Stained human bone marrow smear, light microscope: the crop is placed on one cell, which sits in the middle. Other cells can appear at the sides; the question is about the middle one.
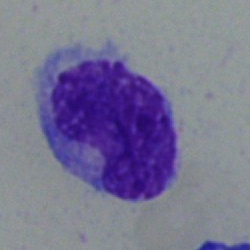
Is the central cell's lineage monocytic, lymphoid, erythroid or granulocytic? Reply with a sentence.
Placed within the monocytic lineage is the cell in the middle.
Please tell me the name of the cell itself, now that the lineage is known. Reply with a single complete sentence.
Regarding the central cell, it is a monocyte.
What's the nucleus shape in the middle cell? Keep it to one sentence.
The nucleus amounts to one compact mass with a round, oval or kidney-shaped outline.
